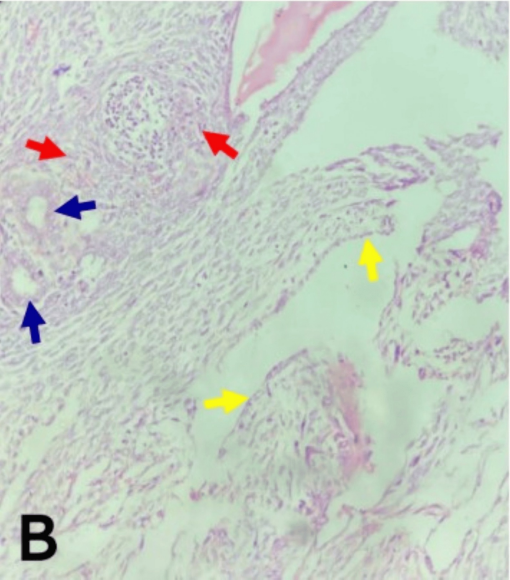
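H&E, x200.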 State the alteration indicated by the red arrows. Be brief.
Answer: Subepithelial condensation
